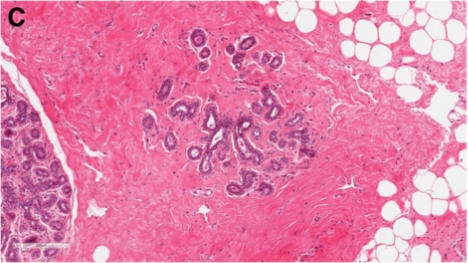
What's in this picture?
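This is breast tissue with a small cluster of epithelial ductules set in dense pink stroma, with fat at one side. The ductules are small round and branching tubes lined by cells with dark purple nuclei, grouped together into a lobule-like cluster. Around them the stroma is densely packed, wavy pink fibrous tissue with scattered thin dark nuclei. On the right lie fat cells, seen as large empty polygonal spaces with thin pink rims. At the left edge part of another, more crowded cluster of epithelial ductules is cut off.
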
